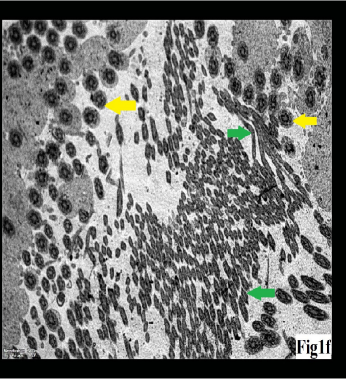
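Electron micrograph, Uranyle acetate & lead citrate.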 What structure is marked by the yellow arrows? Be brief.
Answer: Transverse sections.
